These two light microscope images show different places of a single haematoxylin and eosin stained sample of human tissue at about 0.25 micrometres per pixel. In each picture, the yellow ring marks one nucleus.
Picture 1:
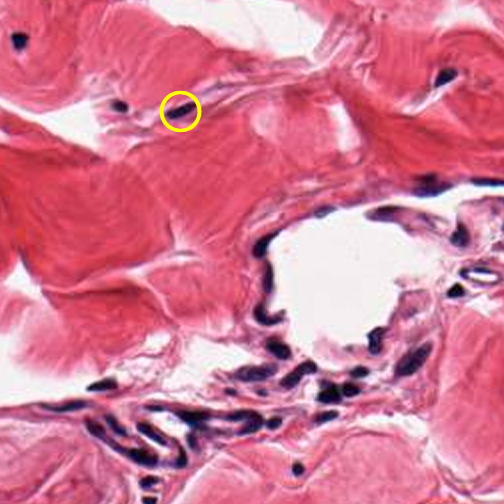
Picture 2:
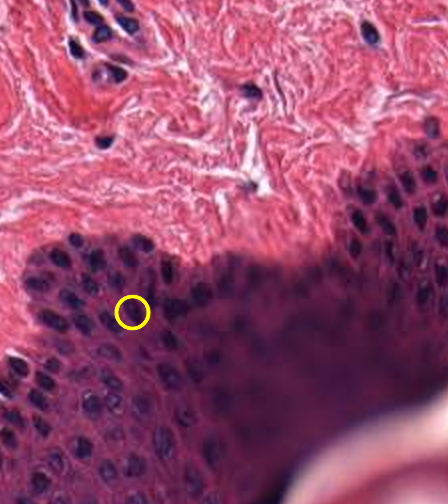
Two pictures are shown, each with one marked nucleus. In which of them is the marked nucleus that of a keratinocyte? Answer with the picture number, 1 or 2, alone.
2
